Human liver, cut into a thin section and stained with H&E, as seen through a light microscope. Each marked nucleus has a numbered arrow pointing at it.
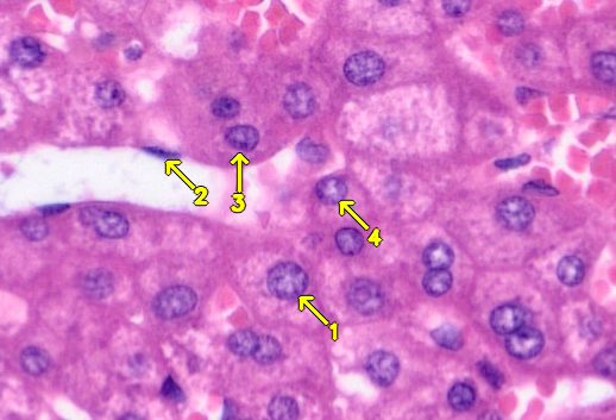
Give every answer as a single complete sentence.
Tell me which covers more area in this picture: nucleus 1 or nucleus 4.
At about 2 times the area of nucleus 4, nucleus 1 is the larger of the two.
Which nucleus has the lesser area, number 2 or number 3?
Number 2 is smaller, since number 3 takes up about 3 times as much area.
